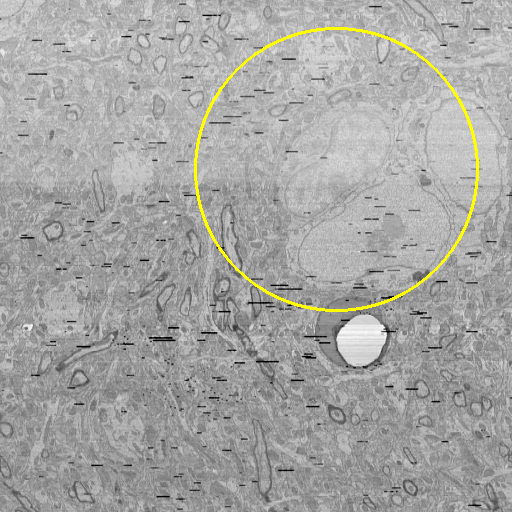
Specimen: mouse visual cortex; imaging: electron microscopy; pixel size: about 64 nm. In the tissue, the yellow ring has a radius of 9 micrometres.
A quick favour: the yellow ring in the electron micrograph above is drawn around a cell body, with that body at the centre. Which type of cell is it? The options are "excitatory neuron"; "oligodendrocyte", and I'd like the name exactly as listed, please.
oligodendrocyte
